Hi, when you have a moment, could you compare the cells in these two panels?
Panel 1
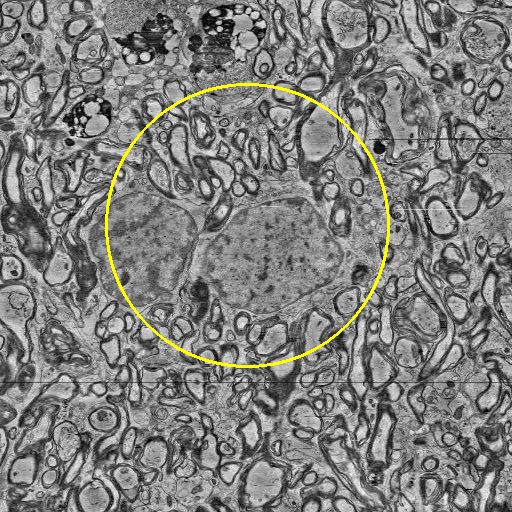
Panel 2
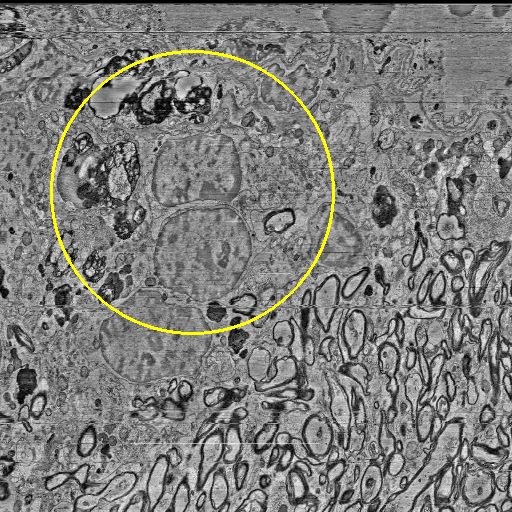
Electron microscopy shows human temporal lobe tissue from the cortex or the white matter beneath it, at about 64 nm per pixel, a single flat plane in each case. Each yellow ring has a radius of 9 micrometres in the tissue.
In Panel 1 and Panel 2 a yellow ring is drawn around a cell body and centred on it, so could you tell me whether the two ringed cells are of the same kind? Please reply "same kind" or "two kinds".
same kind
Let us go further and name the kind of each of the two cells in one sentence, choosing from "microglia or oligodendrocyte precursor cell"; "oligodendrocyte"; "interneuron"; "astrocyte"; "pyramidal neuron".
Both the first and the second picture show a microglial cell or oligodendrocyte precursor cell in the ring.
